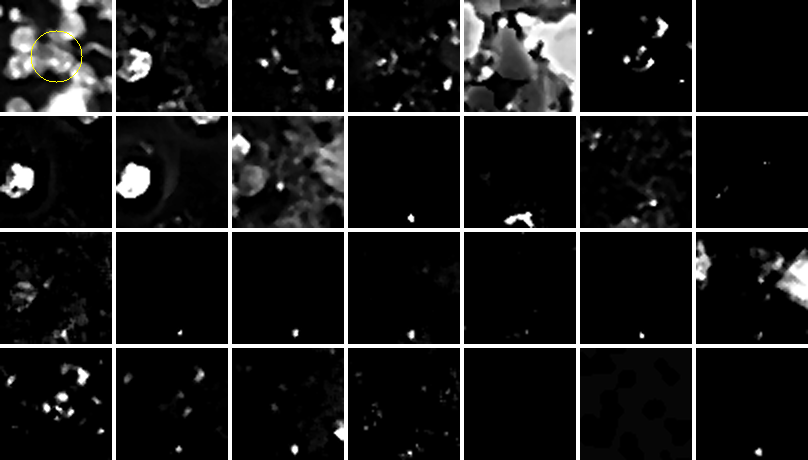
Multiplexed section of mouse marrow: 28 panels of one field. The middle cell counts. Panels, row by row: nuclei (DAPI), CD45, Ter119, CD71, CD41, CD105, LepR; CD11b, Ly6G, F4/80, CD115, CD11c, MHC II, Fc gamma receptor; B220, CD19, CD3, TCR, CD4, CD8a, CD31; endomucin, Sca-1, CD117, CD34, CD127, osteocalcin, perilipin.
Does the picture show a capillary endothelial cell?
Yes.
